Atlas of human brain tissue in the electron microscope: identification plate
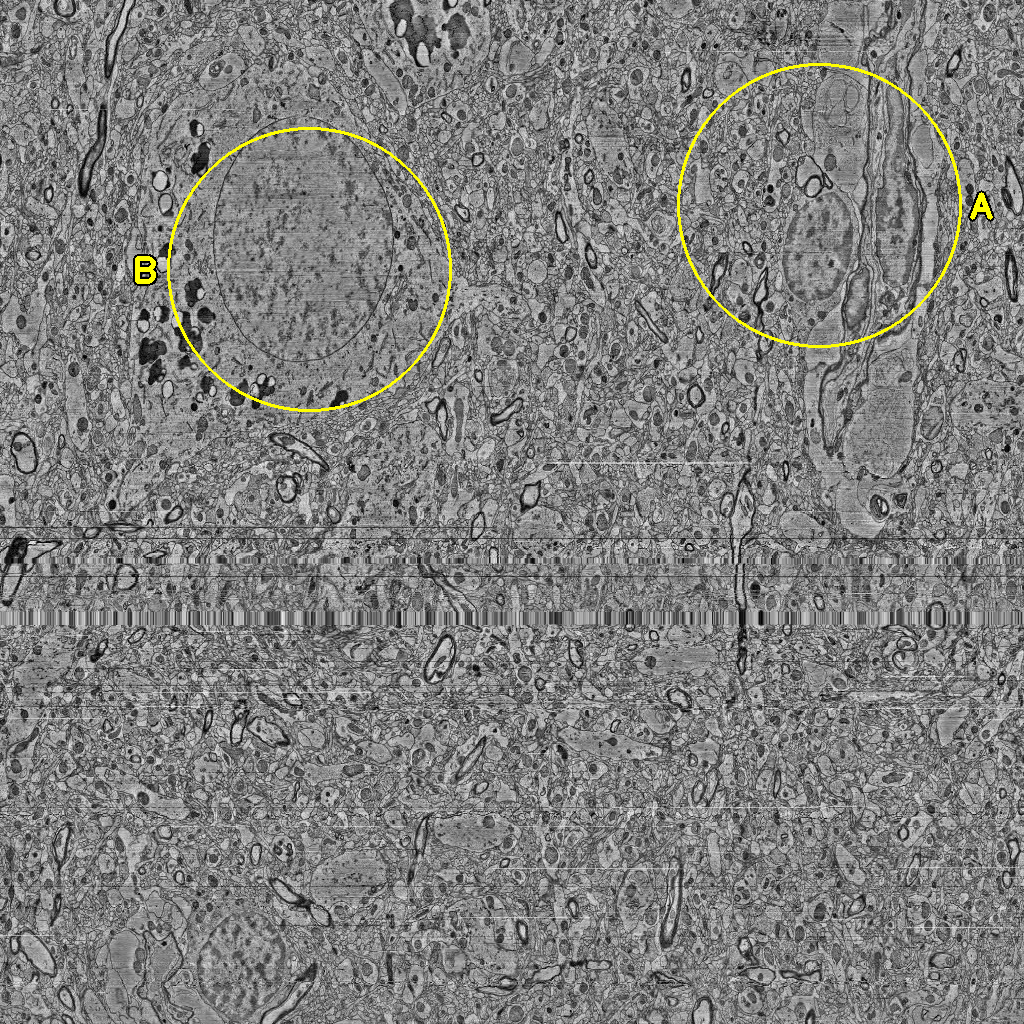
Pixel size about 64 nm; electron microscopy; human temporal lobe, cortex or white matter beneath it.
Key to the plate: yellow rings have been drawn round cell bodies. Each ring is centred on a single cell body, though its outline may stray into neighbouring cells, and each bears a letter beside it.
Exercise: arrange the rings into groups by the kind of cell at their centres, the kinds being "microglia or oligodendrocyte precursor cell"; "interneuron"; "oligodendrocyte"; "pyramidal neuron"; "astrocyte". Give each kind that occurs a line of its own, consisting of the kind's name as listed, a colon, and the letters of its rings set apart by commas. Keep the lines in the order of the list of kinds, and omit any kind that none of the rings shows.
oligodendrocyte: A
pyramidal neuron: B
